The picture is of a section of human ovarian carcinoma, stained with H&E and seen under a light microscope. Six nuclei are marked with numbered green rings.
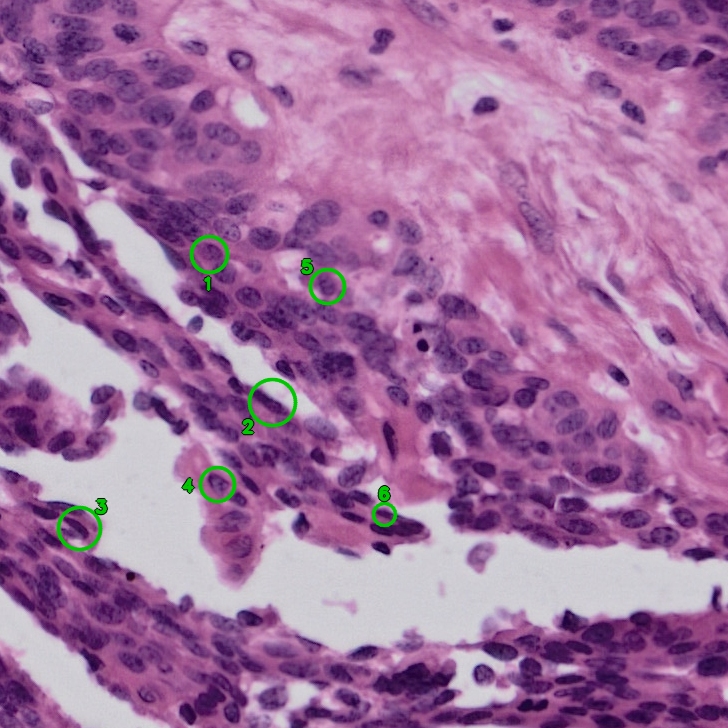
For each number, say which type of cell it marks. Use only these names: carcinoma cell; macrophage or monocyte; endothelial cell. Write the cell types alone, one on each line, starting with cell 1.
carcinoma cell
carcinoma cell
macrophage or monocyte
endothelial cell
carcinoma cell
carcinoma cell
